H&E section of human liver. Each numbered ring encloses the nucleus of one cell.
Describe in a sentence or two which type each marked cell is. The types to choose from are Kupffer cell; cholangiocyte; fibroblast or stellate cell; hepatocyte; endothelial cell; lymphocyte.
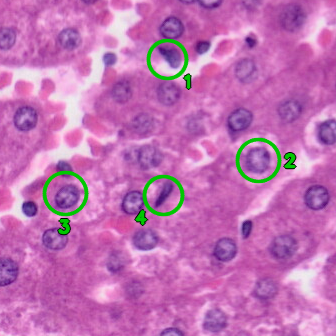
Cell 1 is an endothelial cell. Cells 2 and 3 are hepatocytes. Cell 4 is a fibroblast or stellate cell.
